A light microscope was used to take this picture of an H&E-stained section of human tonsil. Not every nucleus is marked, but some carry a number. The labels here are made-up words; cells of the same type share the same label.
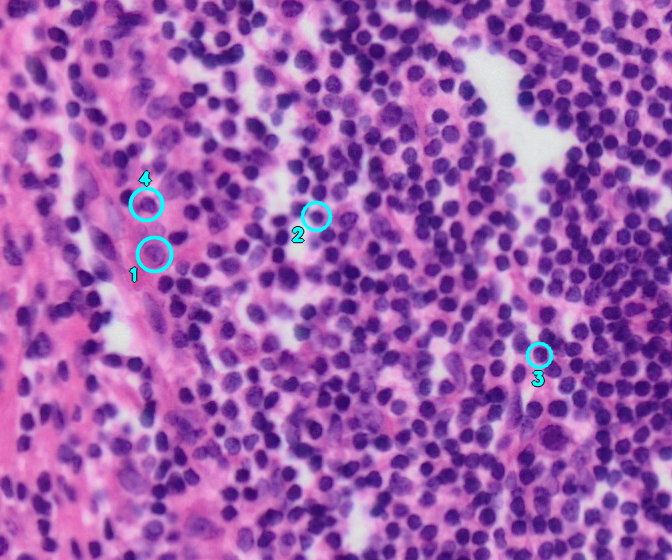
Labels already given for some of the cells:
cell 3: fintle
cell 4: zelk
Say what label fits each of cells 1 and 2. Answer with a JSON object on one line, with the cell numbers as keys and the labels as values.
{"1": "zelk", "2": "fintle"}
